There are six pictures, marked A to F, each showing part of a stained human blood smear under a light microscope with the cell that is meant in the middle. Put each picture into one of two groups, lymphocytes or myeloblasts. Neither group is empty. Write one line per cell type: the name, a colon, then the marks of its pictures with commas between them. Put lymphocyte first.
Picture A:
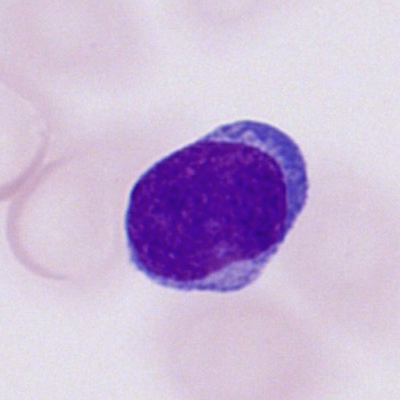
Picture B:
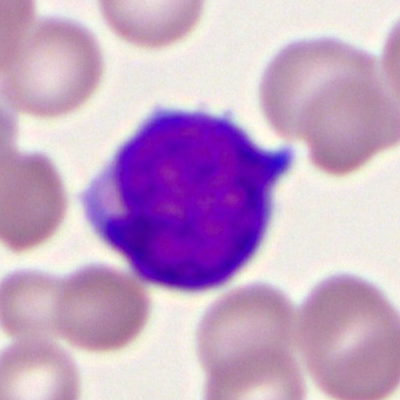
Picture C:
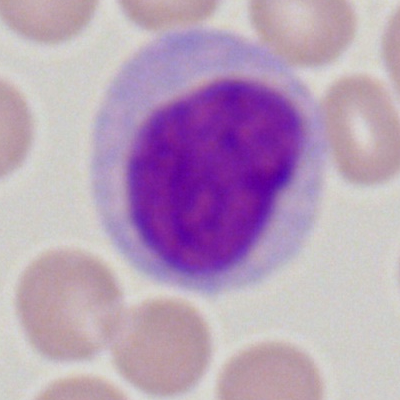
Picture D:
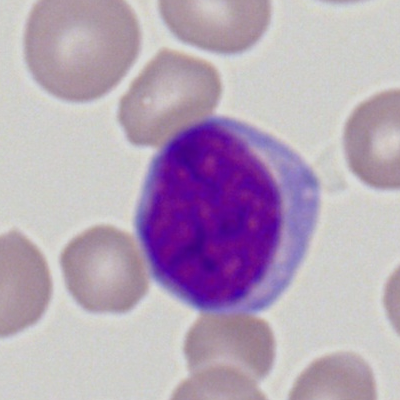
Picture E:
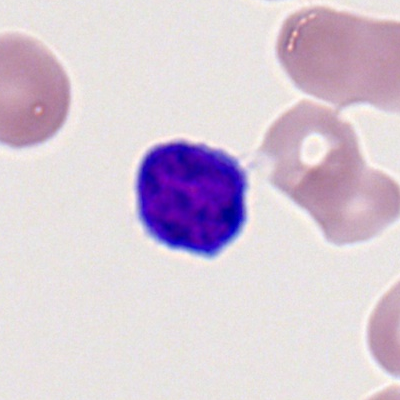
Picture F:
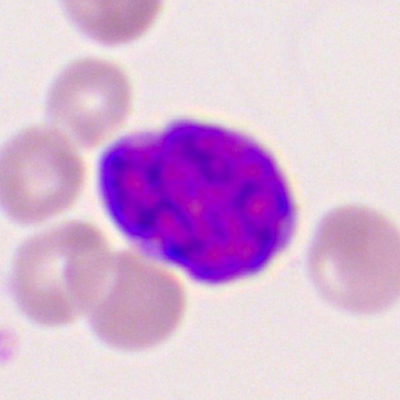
lymphocyte: D, E
myeloblast: A, B, C, F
